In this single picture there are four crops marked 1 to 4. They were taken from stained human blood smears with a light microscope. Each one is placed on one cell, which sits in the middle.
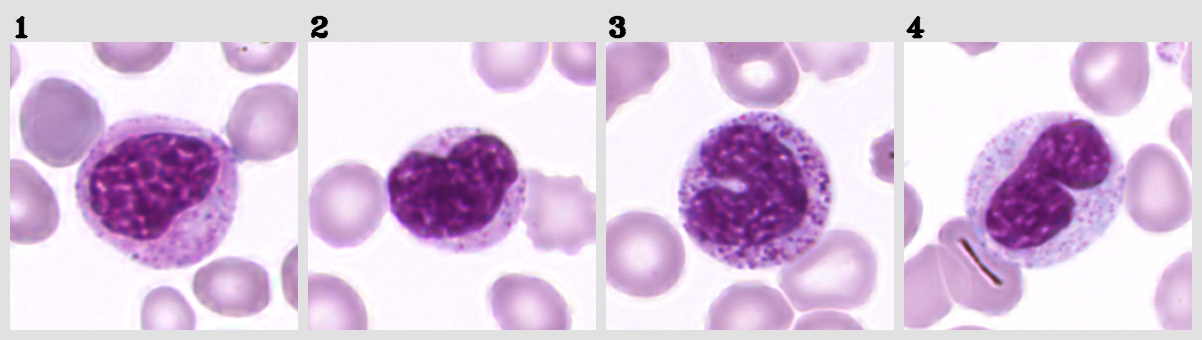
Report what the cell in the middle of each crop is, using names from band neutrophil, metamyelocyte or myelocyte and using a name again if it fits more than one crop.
1: metamyelocyte
2: metamyelocyte
3: band neutrophil
4: band neutrophil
